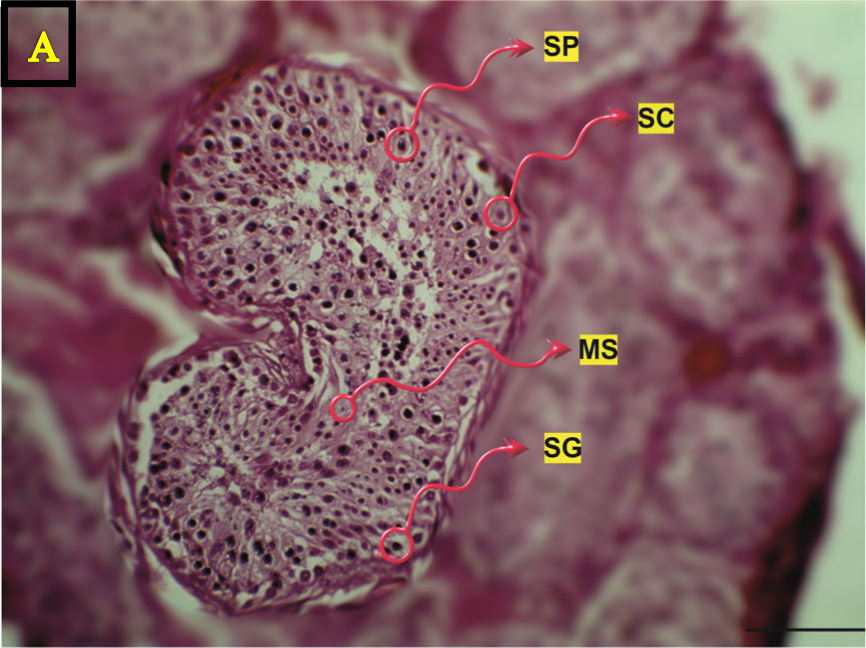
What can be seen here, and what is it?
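A seminiferous tubule is cut in cross-section; its outline is indented, giving it a kidney-like shape. A thick germinal epithelium fills the tubule, made of several layers of cells with dark purple nuclei set in pale pink cytoplasm. Small cells with dense nuclei sit along the thin wall at the base of the epithelium, and larger round cells with prominent nuclei lie above them. Toward the narrow, irregular central lumen lie smaller cells with compact dark nuclei, representing spermatids. The tubule is surrounded by a thin wall, and neighbouring tubules and interstitial tissue appear out of focus around it.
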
